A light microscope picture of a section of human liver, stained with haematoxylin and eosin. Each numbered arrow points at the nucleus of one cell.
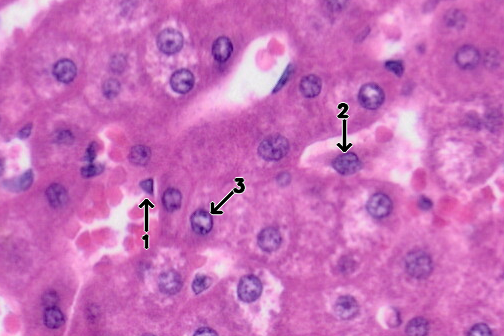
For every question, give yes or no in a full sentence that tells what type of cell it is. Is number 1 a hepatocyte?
No, cell 1 is not to be taken for a hepatocyte; it is a fibroblast or stellate cell.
